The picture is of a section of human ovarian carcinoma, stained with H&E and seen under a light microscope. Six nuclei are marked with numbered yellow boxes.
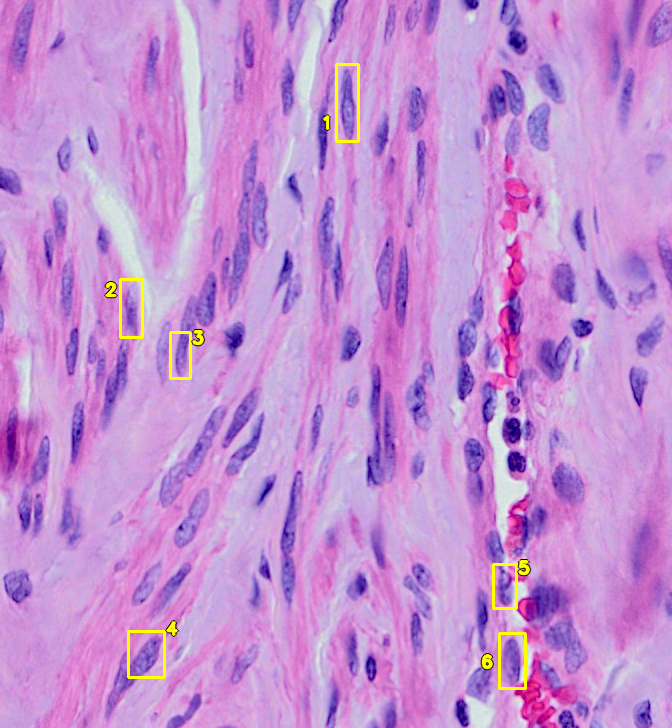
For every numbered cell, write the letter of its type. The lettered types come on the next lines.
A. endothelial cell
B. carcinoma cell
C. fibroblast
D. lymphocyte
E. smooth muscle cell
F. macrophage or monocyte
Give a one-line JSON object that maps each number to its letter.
{"1": "E", "2": "E", "3": "E", "4": "E", "5": "A", "6": "A"}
